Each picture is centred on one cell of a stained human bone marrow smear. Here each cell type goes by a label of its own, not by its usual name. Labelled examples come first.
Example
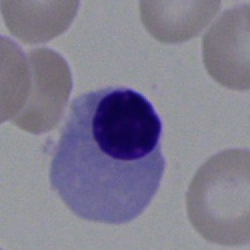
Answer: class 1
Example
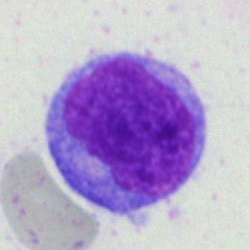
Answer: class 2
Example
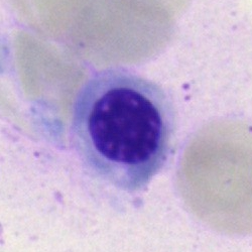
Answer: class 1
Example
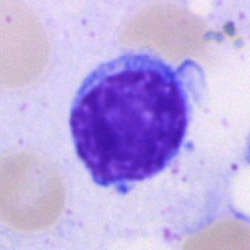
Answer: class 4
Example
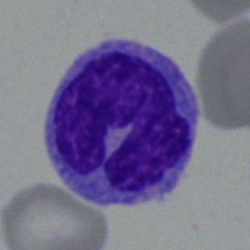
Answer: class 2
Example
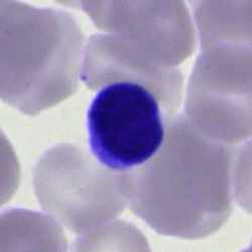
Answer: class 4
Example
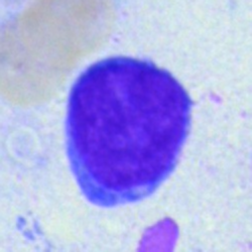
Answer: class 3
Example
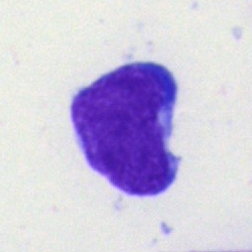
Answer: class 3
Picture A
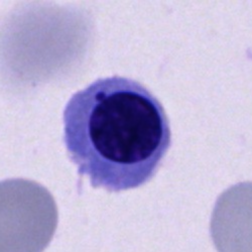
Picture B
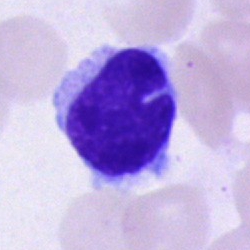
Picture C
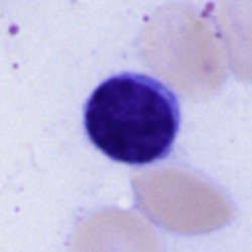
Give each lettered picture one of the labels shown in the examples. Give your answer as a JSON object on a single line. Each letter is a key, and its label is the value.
{"A": "class 1", "B": "class 2", "C": "class 4"}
